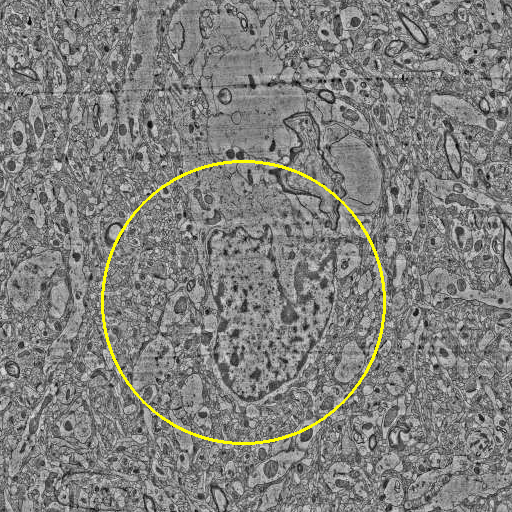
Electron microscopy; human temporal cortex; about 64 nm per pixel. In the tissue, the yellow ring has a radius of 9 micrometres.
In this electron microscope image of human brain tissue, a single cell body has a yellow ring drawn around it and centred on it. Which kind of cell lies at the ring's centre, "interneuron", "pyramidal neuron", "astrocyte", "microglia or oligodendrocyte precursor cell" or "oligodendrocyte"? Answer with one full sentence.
It is a microglial cell or oligodendrocyte precursor cell whose cell body lies at the centre of the yellow ring here.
